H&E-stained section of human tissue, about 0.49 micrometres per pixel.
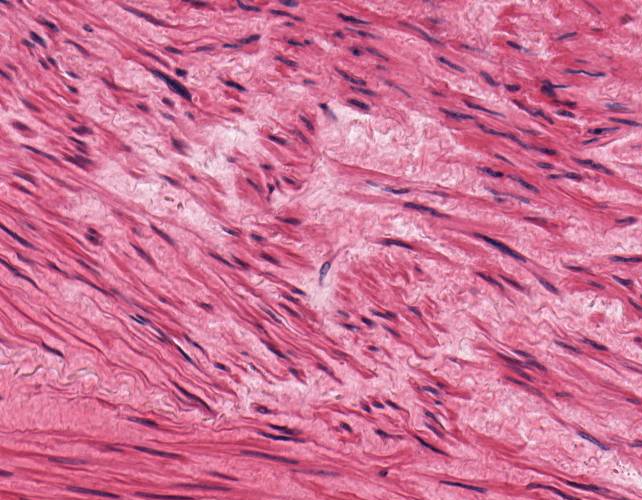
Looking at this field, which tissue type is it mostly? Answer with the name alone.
tunica media of an artery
